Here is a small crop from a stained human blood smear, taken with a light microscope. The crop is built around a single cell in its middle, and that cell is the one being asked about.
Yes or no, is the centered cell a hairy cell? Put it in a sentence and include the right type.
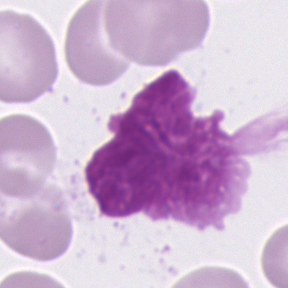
No, the middle cell is actually a smudge cell rather than a hairy cell.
